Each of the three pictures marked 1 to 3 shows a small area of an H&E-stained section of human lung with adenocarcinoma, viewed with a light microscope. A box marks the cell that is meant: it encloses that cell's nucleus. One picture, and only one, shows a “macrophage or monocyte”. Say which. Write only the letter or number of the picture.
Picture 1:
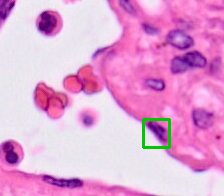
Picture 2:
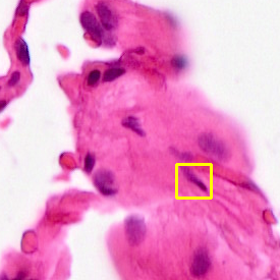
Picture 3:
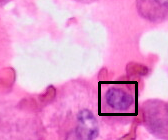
3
